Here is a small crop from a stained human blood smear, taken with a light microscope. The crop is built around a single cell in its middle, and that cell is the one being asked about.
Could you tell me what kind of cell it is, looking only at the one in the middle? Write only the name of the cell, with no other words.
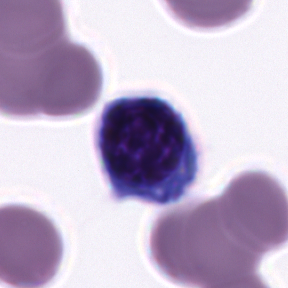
plasma cell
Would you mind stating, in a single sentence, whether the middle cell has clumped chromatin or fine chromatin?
Take a look at the chromatin, which is coarsely clumped.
